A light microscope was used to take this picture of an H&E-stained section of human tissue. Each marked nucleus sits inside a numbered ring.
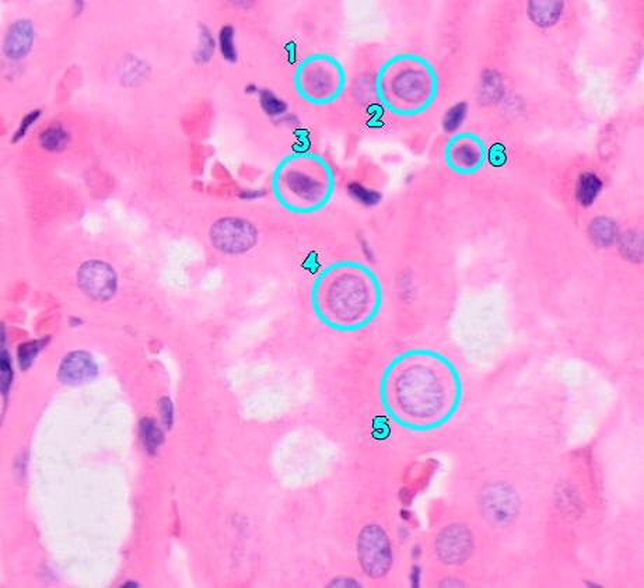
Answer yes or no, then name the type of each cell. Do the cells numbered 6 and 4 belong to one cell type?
No, cell 6 is categorized as an endothelial cell, while cell 4 is categorized as a proximal tubule cell.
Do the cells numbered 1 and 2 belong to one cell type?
Yes, cells 1 and 2 both fall under proximal tubule cells.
